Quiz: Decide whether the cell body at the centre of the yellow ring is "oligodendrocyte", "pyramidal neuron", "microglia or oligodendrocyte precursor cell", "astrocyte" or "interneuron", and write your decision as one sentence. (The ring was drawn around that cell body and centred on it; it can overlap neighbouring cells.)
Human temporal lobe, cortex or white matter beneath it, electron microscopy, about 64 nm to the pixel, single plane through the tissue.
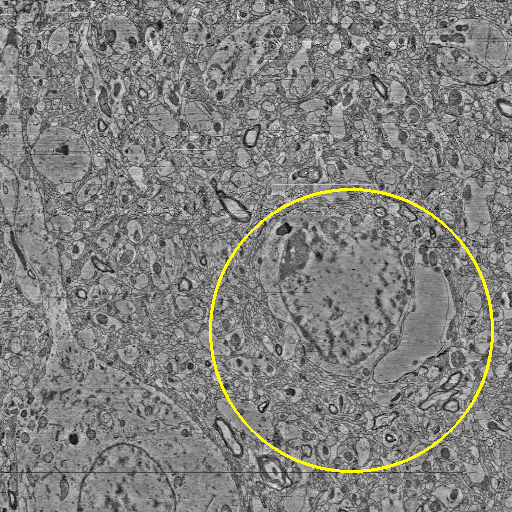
The cell the ring is centred on is an interneuron.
